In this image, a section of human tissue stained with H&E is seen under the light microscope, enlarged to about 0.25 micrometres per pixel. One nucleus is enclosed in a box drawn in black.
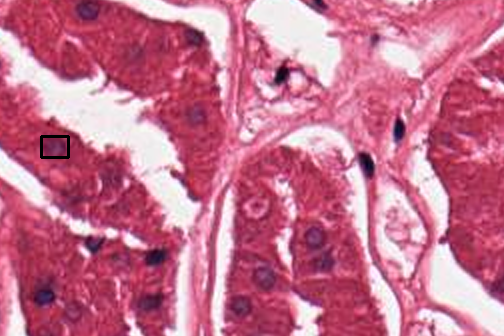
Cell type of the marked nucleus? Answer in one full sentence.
The marked nucleus forms part of a proximal tubule cell.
